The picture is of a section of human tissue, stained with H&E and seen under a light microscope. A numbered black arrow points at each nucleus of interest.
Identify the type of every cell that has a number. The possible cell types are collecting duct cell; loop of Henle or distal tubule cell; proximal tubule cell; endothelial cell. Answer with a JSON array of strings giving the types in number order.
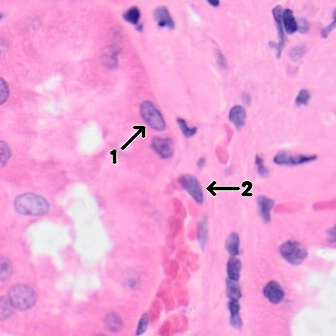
["proximal tubule cell", "endothelial cell"]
